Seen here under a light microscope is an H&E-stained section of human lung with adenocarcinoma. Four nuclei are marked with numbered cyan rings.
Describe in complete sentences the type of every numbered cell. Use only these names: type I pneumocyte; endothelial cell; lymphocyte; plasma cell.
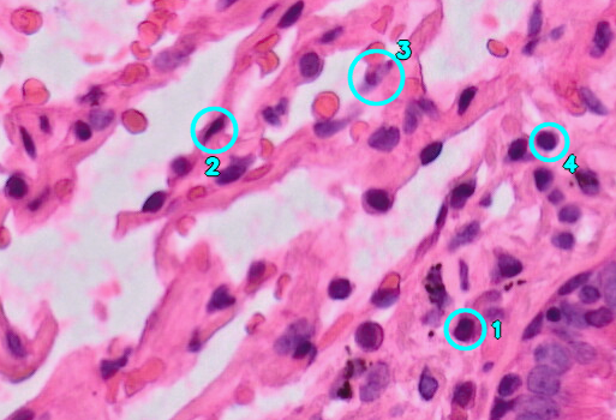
Cell 1 is a plasma cell, cell 2 is an endothelial cell, cell 3 is a type I pneumocyte and cell 4 is a lymphocyte.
